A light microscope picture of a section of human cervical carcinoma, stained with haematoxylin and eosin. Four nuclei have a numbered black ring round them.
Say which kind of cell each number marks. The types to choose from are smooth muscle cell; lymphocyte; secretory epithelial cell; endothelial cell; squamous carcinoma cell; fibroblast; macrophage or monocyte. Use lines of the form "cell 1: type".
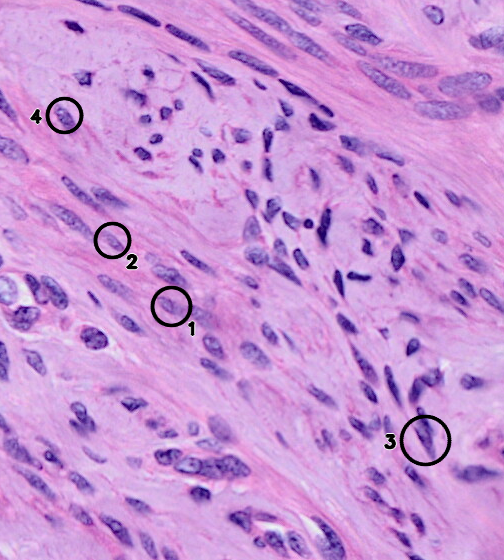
cell 1: smooth muscle cell
cell 2: smooth muscle cell
cell 3: fibroblast
cell 4: smooth muscle cell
